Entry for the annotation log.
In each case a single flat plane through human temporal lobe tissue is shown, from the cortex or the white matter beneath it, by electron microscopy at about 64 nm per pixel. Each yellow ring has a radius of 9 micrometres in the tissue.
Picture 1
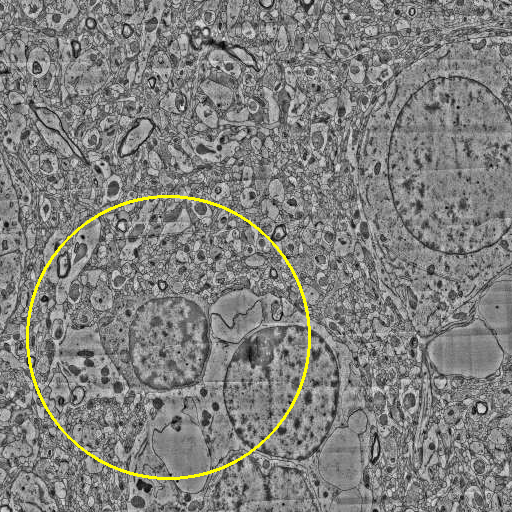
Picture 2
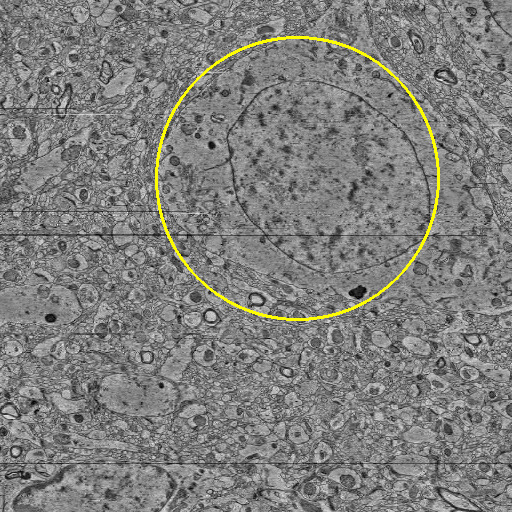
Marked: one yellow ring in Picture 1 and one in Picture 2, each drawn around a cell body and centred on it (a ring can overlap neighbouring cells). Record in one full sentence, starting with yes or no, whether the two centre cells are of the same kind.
No, the two cells are of two kinds.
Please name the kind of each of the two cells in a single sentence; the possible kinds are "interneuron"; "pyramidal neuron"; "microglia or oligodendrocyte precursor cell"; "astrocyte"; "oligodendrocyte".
In the first picture the ring is centred on an oligodendrocyte, and in the second on a pyramidal neuron.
